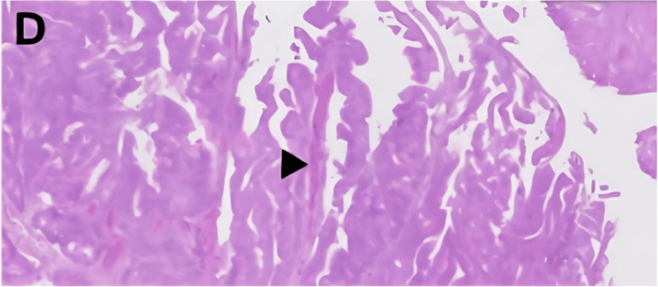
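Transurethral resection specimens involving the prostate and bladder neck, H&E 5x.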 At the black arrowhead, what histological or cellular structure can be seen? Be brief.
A: True fibrovascular core.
